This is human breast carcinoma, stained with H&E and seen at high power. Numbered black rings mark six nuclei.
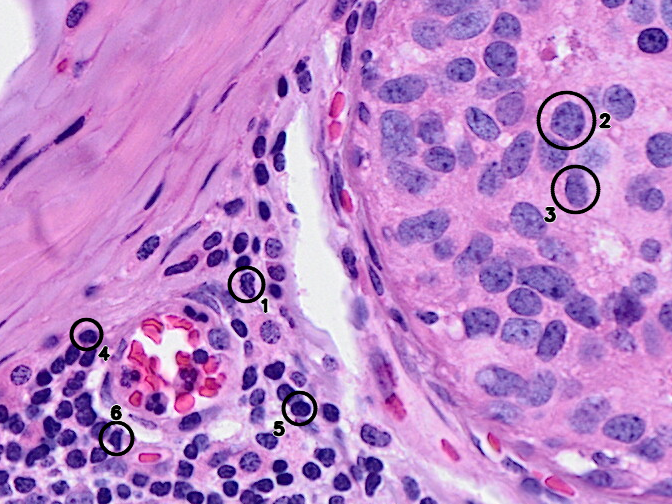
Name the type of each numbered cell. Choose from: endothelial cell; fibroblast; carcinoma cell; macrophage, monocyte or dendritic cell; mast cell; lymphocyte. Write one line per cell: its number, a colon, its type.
1: lymphocyte
2: carcinoma cell
3: carcinoma cell
4: lymphocyte
5: lymphocyte
6: lymphocyte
